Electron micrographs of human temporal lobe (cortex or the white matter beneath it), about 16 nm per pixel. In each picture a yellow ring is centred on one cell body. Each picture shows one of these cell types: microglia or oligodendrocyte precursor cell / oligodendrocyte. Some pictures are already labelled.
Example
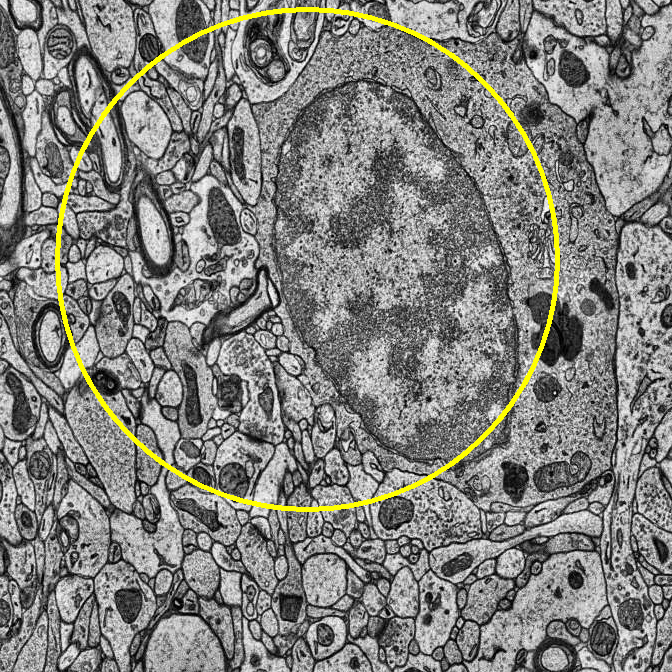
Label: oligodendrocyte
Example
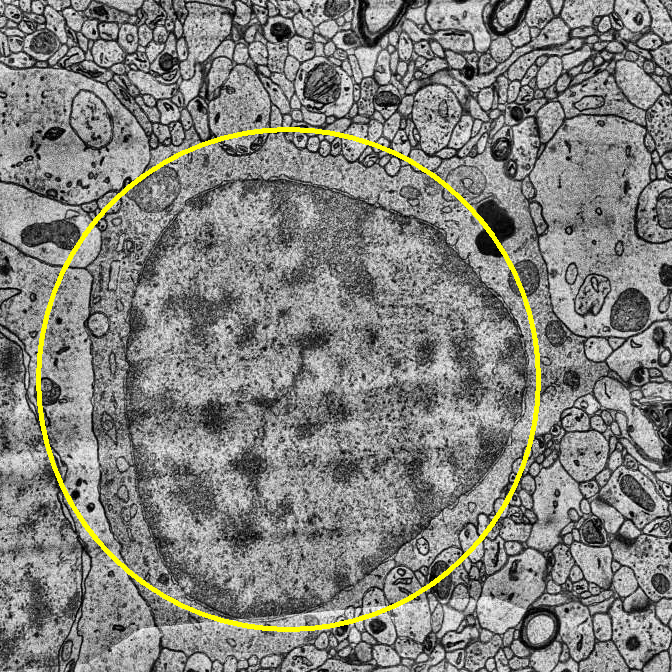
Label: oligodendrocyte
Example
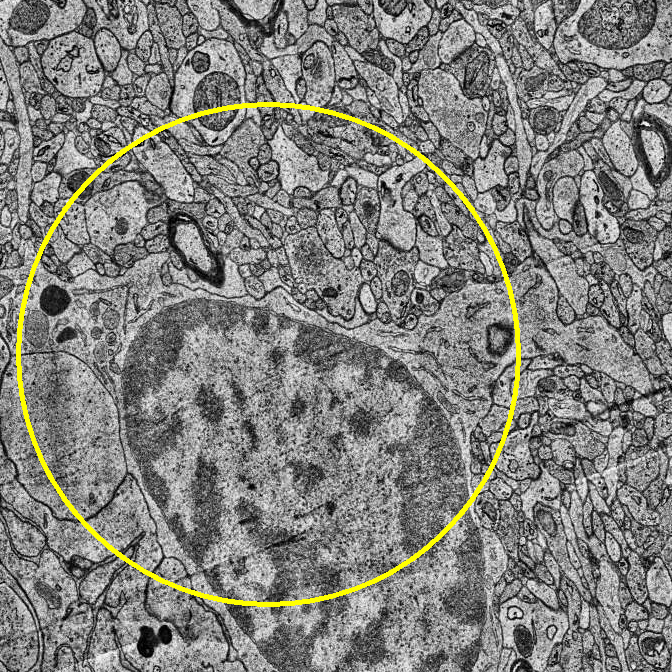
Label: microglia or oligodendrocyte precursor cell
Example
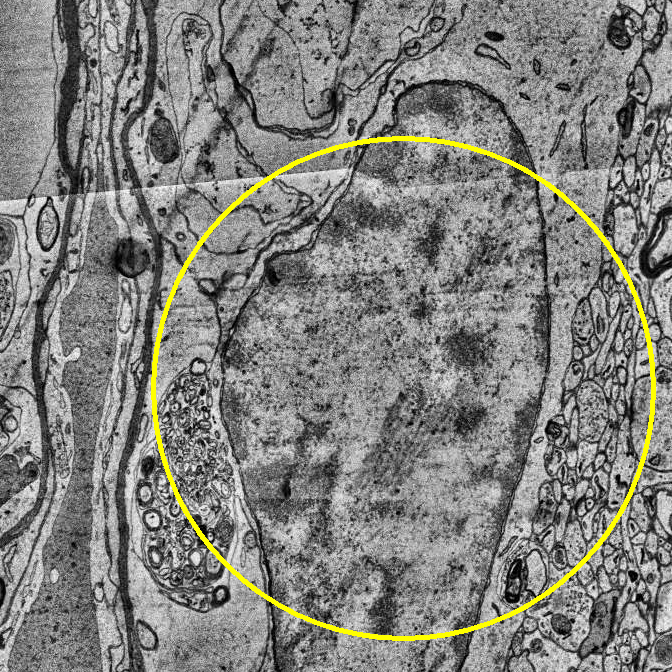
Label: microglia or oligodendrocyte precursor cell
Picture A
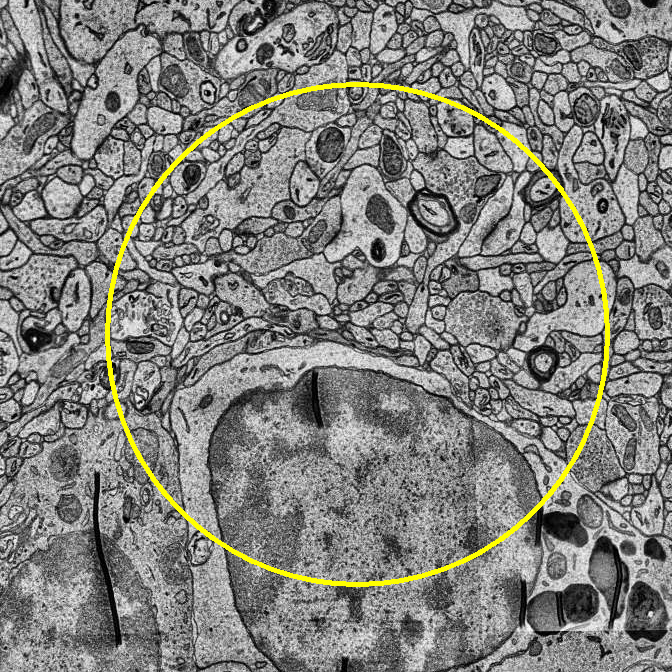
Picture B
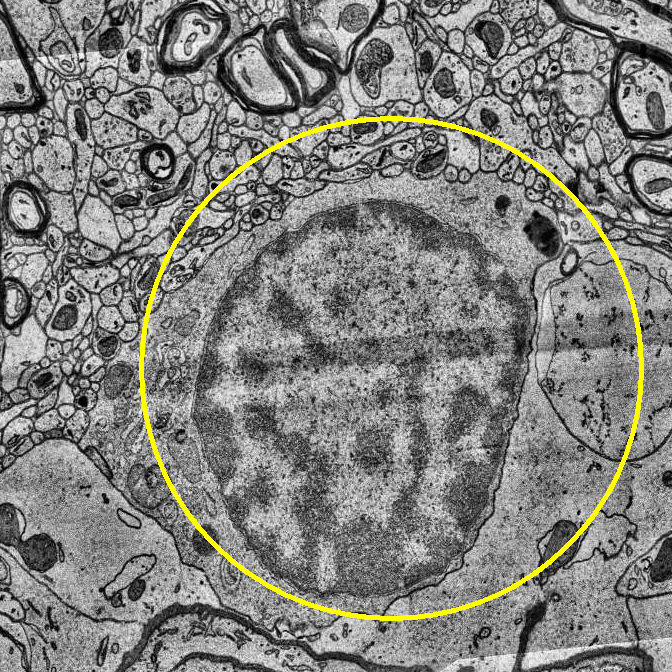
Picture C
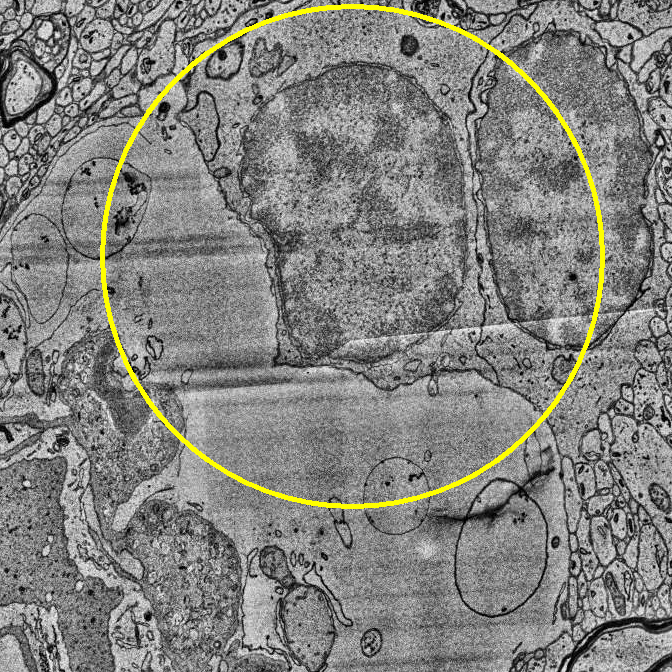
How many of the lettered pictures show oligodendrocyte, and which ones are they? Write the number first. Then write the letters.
Count: 2 (B, C)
